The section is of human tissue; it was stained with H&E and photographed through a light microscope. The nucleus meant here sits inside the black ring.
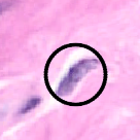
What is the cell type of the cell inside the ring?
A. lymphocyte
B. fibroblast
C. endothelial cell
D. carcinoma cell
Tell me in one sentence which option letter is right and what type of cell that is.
As the cell inside the ring is a fibroblast, the correct choice is option B.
